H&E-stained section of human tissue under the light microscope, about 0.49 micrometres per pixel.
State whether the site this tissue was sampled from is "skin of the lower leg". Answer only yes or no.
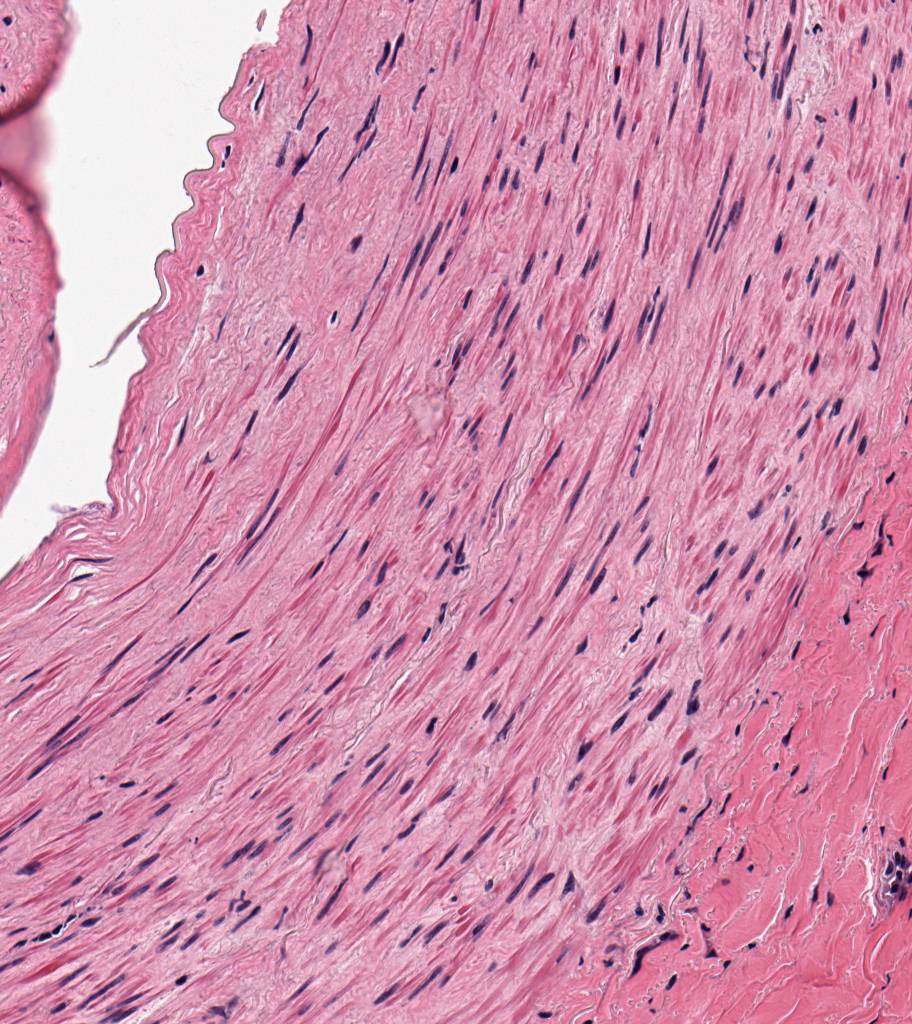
no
